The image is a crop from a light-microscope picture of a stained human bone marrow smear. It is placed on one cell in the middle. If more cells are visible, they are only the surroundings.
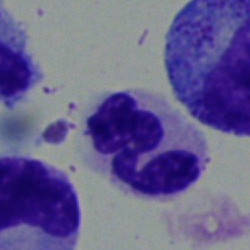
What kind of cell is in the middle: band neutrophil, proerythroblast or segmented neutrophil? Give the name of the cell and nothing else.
segmented neutrophil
